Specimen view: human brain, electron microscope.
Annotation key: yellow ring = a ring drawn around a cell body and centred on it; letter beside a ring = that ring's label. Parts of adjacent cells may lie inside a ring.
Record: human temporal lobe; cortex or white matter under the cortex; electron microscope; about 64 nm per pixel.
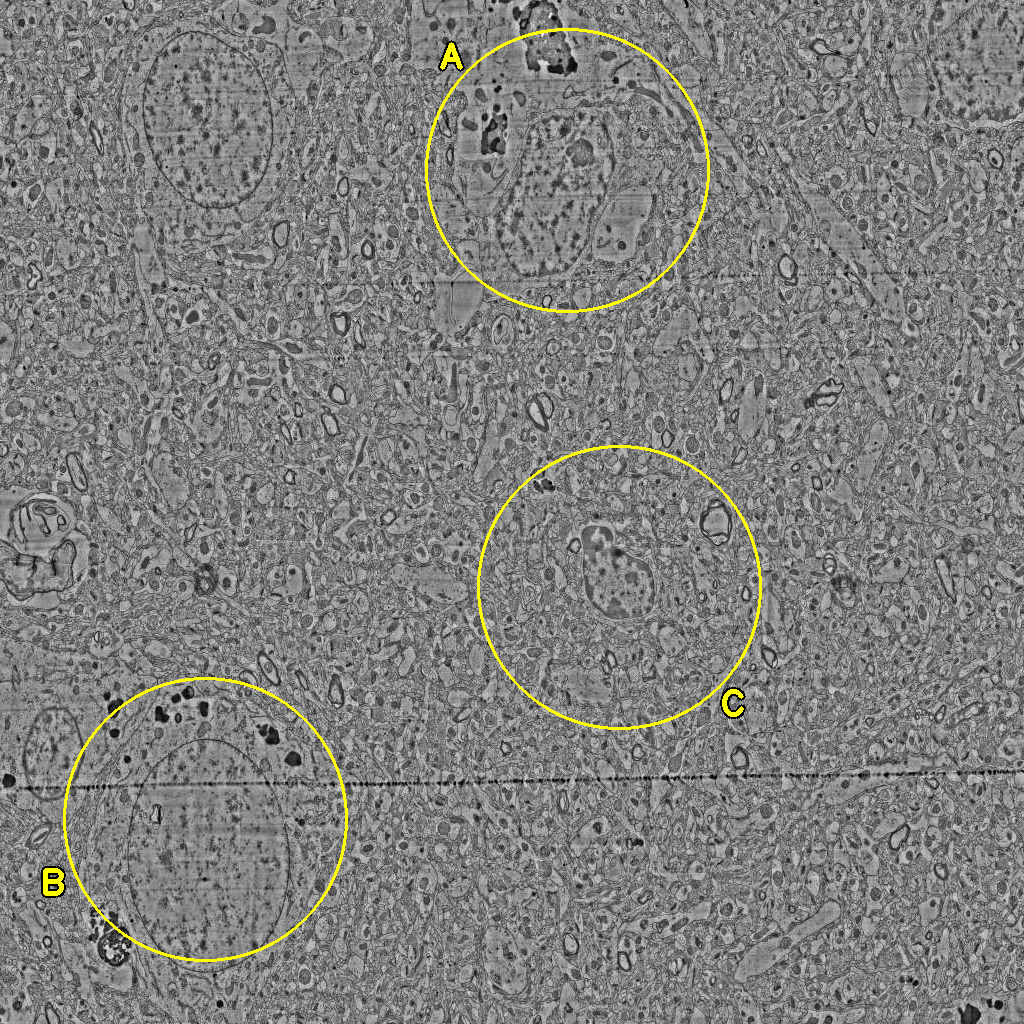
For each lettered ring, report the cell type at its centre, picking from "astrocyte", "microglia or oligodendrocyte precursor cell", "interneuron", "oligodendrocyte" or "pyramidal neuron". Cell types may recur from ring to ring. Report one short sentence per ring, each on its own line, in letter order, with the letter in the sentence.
The cell at the centre of ring A is an interneuron.
The cell at the centre of ring B is a pyramidal neuron.
The cell at the centre of ring C is a microglial cell or oligodendrocyte precursor cell.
